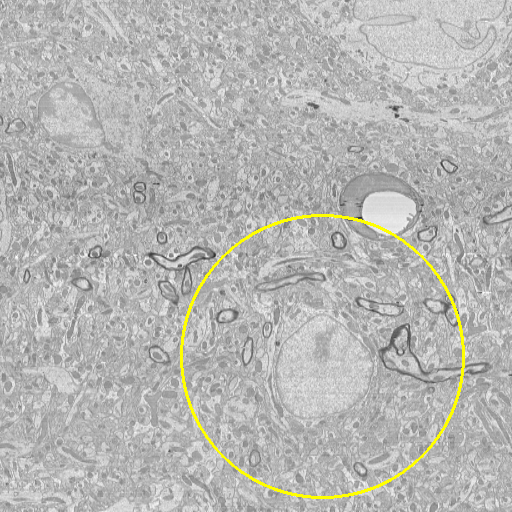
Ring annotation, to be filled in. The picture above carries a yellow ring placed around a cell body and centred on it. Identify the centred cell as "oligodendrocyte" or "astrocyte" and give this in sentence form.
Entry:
The cell in the middle of the ring is an astrocyte.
